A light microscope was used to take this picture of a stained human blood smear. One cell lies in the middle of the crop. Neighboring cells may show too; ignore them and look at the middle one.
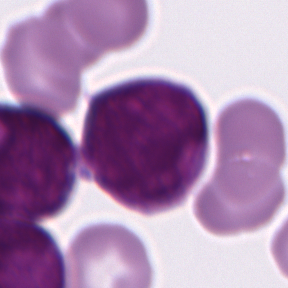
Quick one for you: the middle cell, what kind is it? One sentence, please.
Seen at the centre of the crop is a myeloblast.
